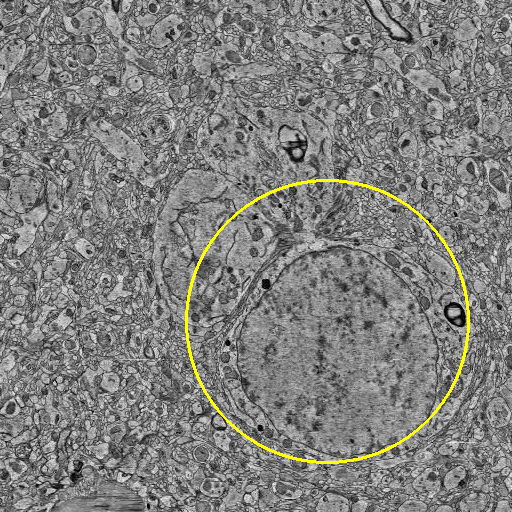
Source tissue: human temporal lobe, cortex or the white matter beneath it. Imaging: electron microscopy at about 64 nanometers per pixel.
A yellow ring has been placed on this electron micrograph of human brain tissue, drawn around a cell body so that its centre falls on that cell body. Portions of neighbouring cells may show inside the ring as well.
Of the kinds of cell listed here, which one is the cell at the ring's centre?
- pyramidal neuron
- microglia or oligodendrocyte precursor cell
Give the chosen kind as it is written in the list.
pyramidal neuron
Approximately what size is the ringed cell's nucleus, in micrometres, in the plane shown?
About 13 micrometers across, in this plane.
